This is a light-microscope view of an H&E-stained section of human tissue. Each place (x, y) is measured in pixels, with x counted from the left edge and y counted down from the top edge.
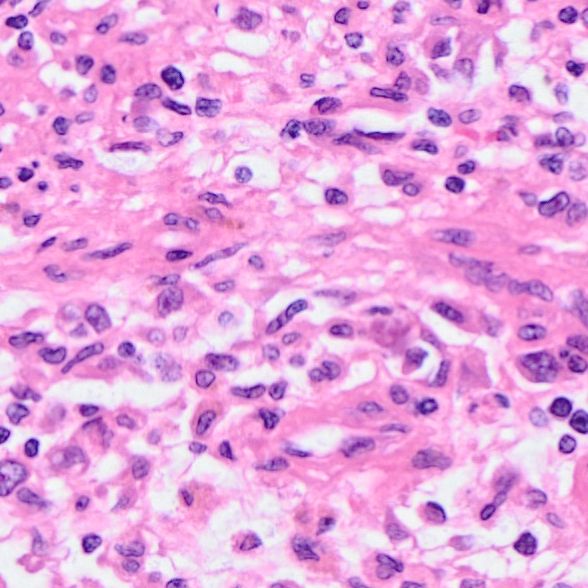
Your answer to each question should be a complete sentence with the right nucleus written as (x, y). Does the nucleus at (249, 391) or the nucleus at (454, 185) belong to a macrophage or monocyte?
In this pair, the nucleus at (249, 391) belongs to a macrophage or monocyte.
